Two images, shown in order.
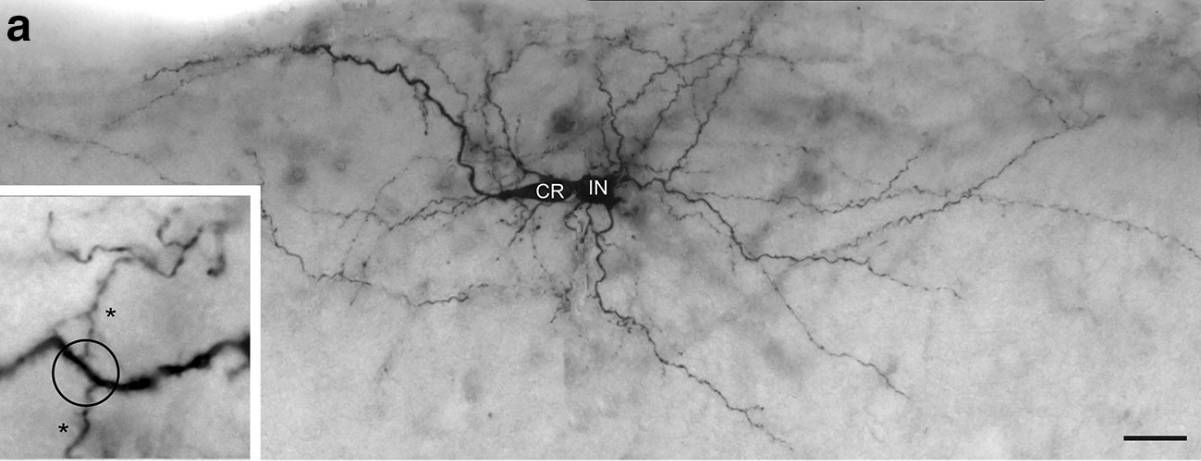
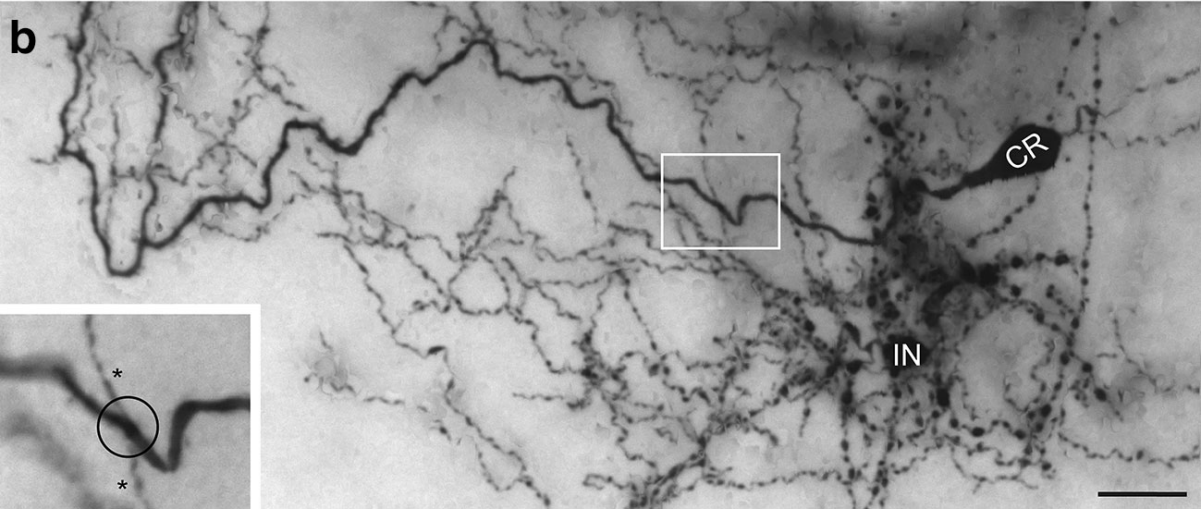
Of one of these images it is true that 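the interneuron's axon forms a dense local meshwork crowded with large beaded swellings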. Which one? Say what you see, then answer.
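The second image. Second image: thin branches around the lower cell body are densely packed and heavily studded with dark round swellings. First image: thin branches radiate far from the paired cell bodies, long and sparsely beaded, spreading horizontally.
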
